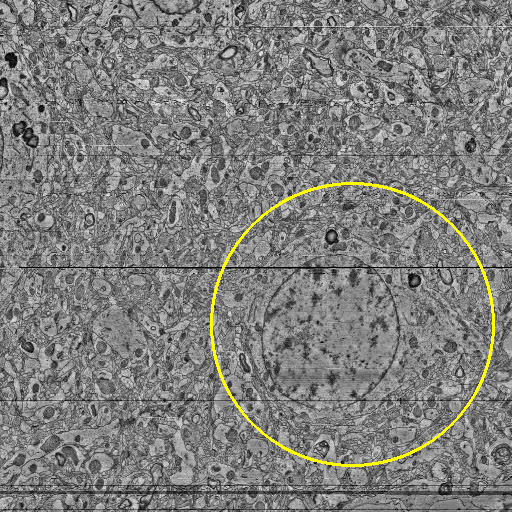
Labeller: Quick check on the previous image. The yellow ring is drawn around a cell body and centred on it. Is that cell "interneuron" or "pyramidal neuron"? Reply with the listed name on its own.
pyramidal neuron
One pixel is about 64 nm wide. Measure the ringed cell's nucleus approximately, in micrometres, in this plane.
In this plane, roughly 11 by 9 micrometres.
